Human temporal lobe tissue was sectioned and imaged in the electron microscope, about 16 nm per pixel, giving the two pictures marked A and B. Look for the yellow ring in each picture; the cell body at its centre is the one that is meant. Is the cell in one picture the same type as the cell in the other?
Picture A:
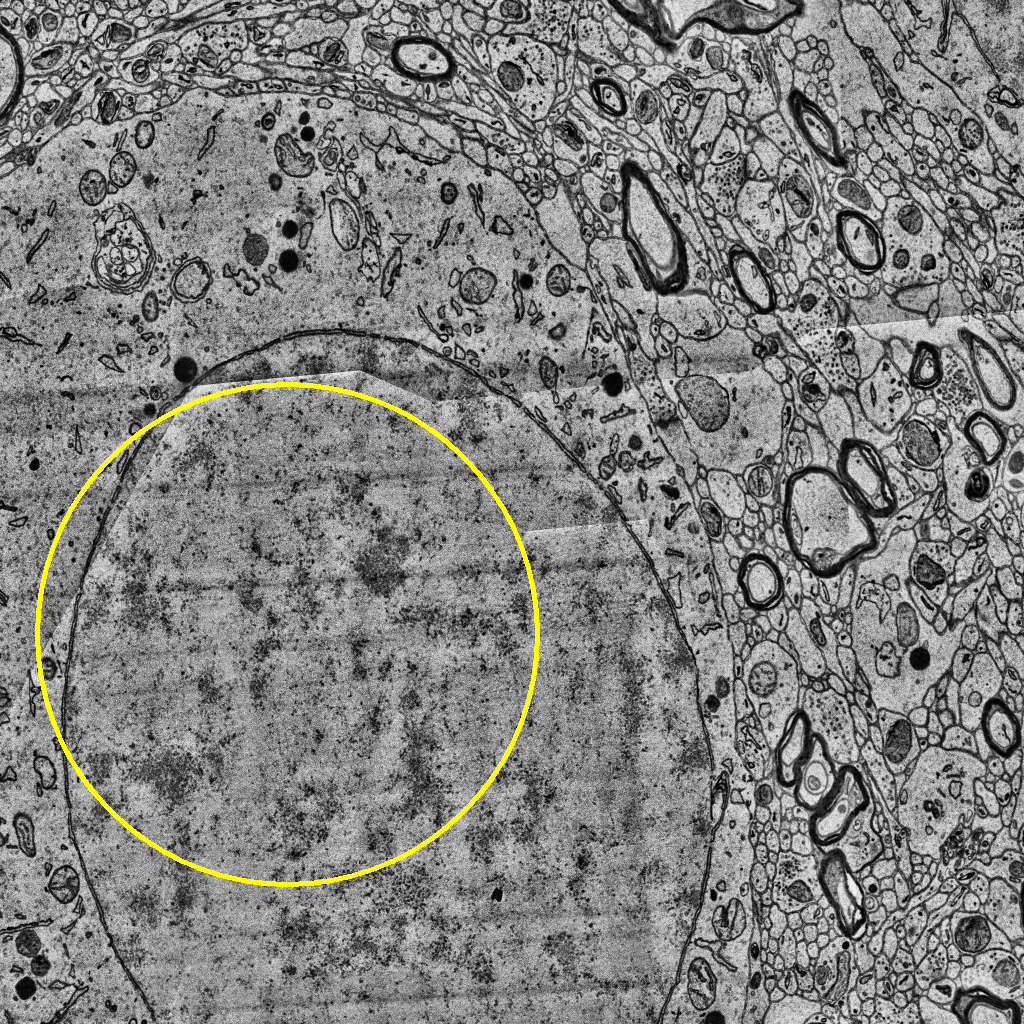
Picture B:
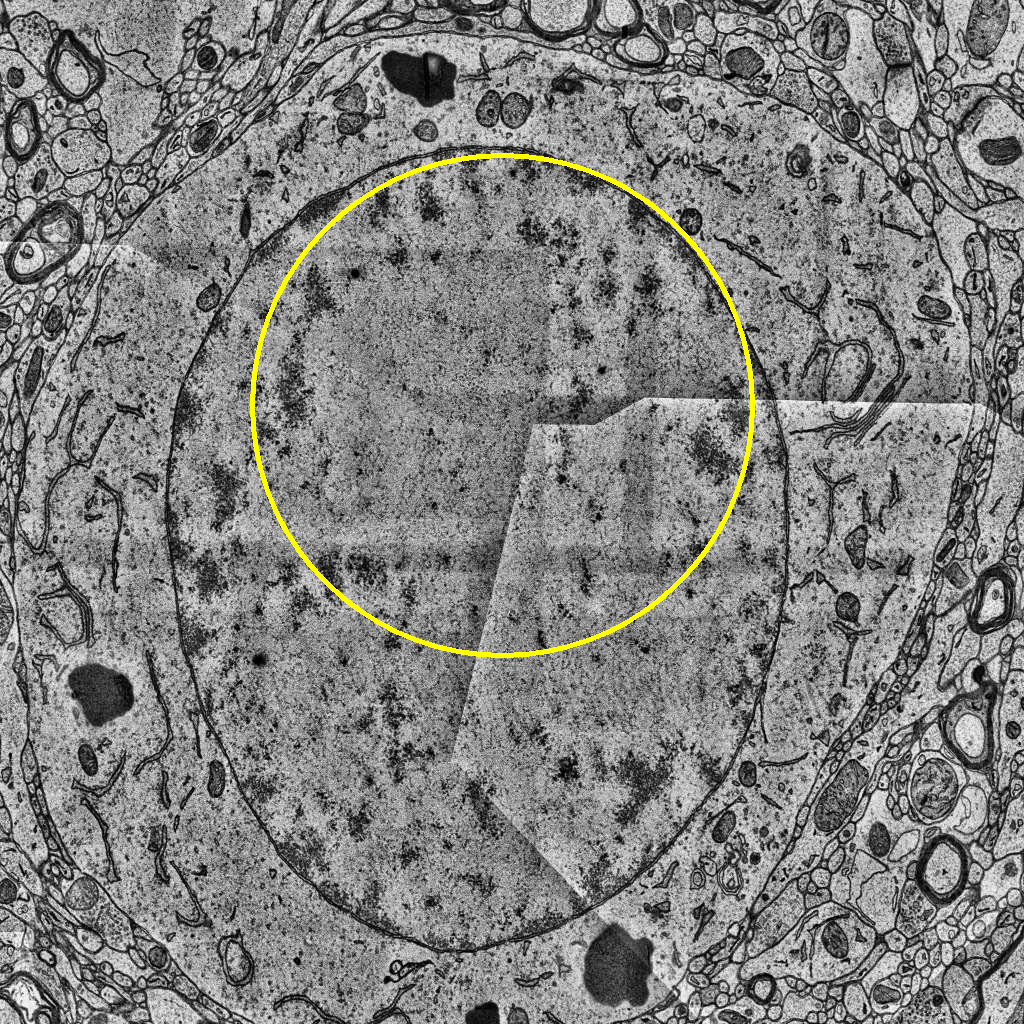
Yes, both cells are pyramidal neurons.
